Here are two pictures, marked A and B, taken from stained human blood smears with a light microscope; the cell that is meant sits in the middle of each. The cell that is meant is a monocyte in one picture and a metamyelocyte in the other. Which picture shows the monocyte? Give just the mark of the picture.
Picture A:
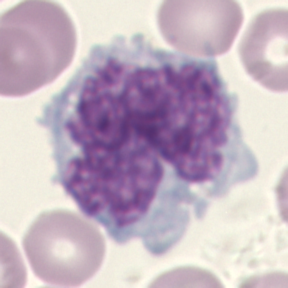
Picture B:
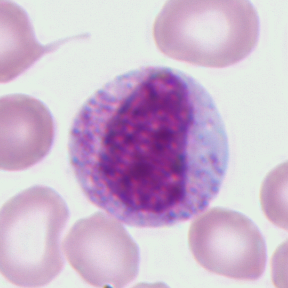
A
